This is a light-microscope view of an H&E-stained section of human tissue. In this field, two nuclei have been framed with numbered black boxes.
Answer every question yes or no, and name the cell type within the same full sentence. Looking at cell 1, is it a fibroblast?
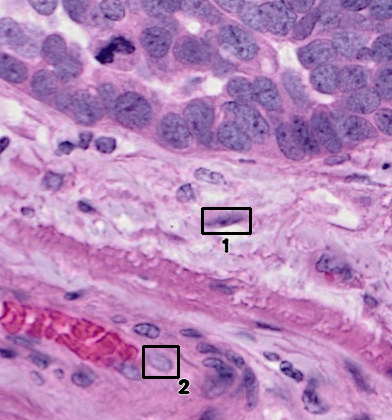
Yes, it is a fibroblast that carries the number 1.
